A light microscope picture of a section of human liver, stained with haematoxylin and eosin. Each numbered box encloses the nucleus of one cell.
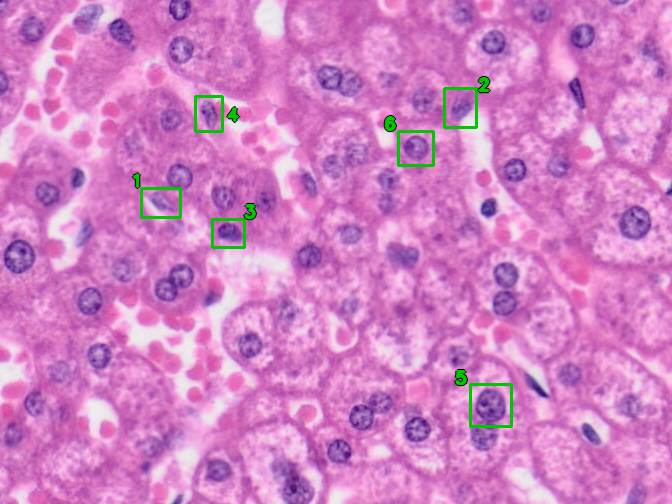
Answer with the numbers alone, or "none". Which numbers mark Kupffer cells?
1, 4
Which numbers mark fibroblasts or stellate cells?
3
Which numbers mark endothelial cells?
2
